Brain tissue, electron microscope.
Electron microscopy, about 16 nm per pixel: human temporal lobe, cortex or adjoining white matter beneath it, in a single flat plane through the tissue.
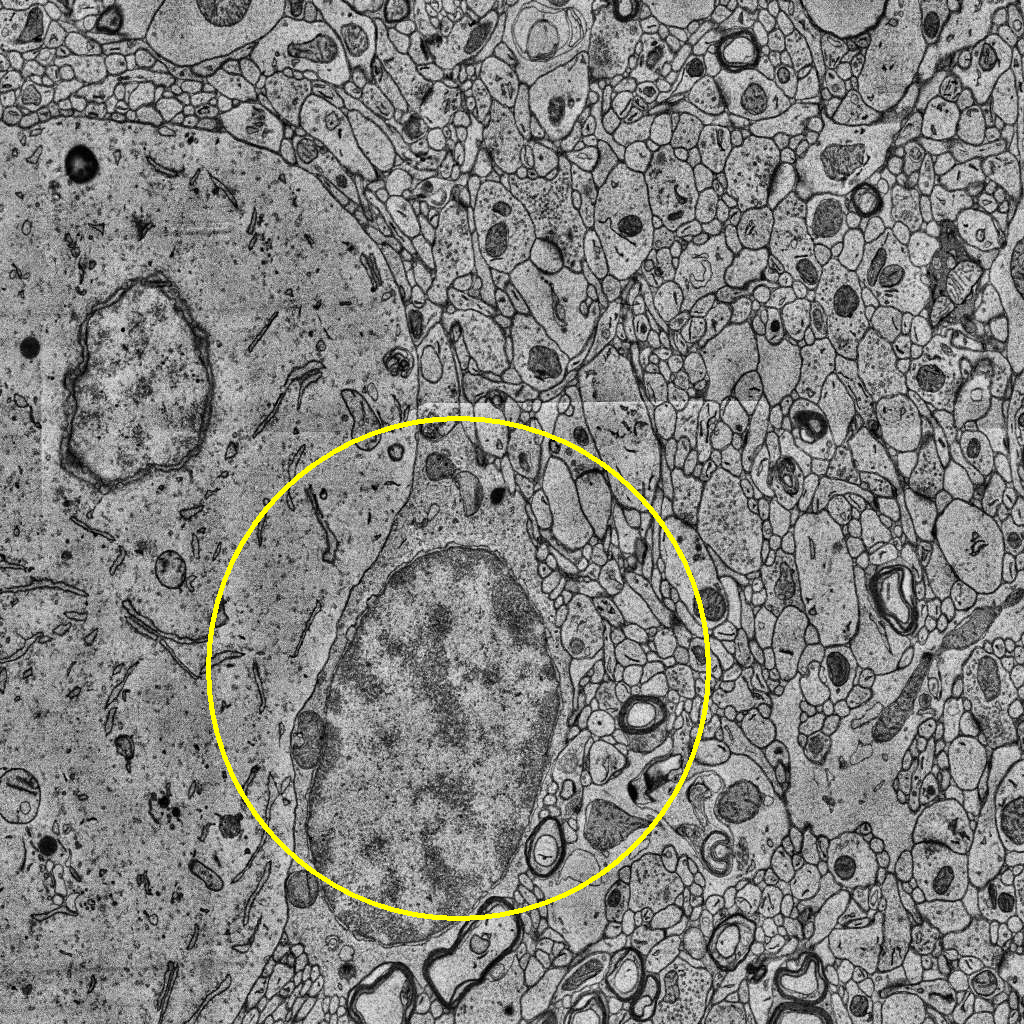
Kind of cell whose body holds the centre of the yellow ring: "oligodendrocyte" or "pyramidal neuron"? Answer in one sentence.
The ring's centre falls on an oligodendrocyte.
